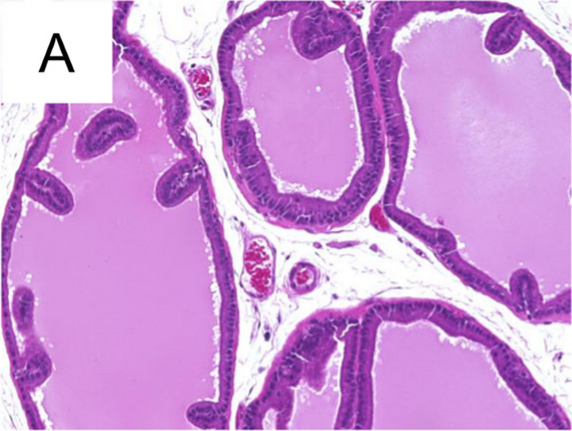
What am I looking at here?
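Several large, rounded glands crowd the field. Each is lined by a thin continuous layer of tall epithelial cells whose dark purple nuclei sit in a row near the base. The lining throws short rounded folds into the lumen. The lumens are wide and filled with evenly pink, homogeneous secretion. Between neighbouring glands runs a narrow band of pale, loosely fibrous stroma with scattered spindle-shaped nuclei. Within this stroma lie a few small vessels packed with red blood cells. Together, glands with abundant secretion, a simple folded epithelial lining and scant stroma between them are the picture of prostate tissue.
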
